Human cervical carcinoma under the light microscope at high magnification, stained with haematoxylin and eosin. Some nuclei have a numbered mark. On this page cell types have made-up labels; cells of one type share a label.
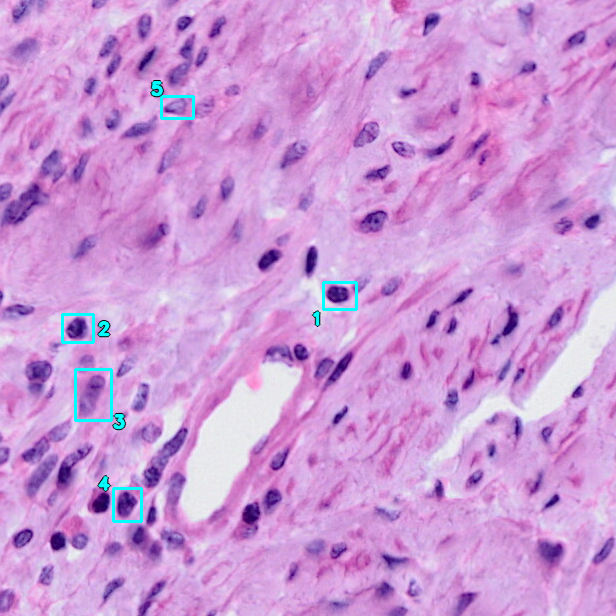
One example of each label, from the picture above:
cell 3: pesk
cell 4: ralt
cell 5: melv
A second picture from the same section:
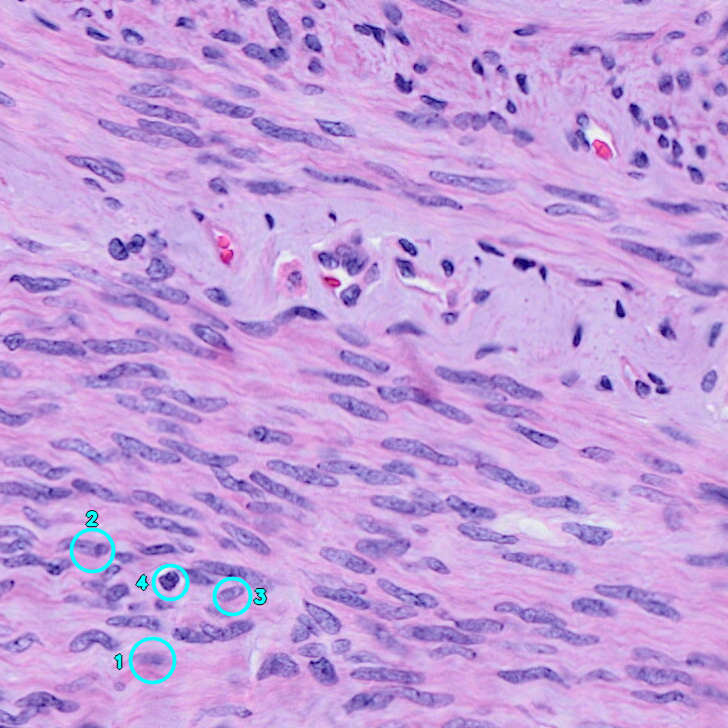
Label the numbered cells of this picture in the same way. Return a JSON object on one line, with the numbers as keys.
{"1": "melv", "2": "melv", "3": "melv", "4": "ralt"}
